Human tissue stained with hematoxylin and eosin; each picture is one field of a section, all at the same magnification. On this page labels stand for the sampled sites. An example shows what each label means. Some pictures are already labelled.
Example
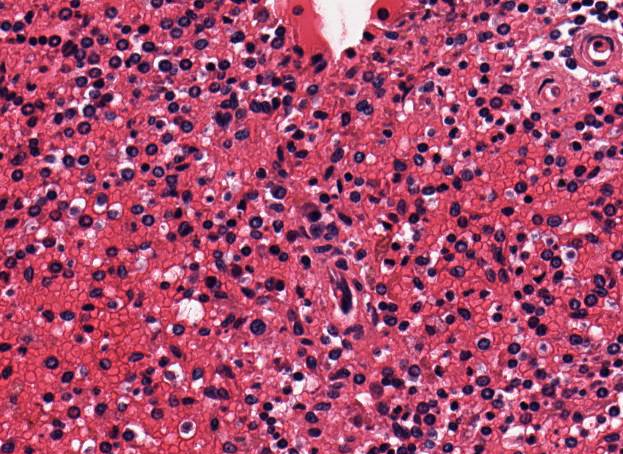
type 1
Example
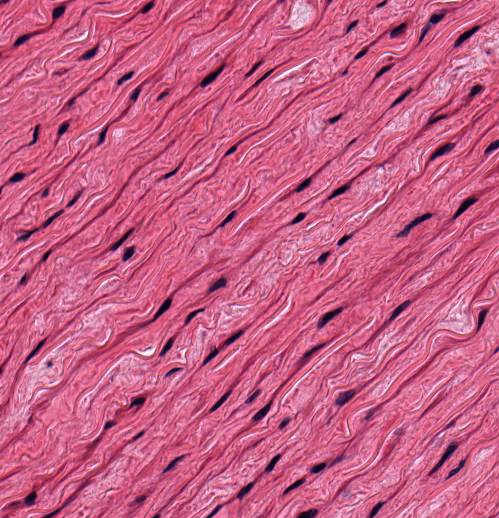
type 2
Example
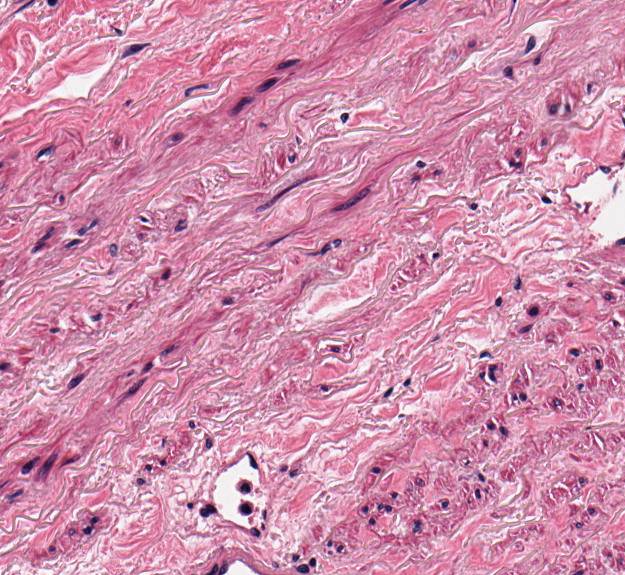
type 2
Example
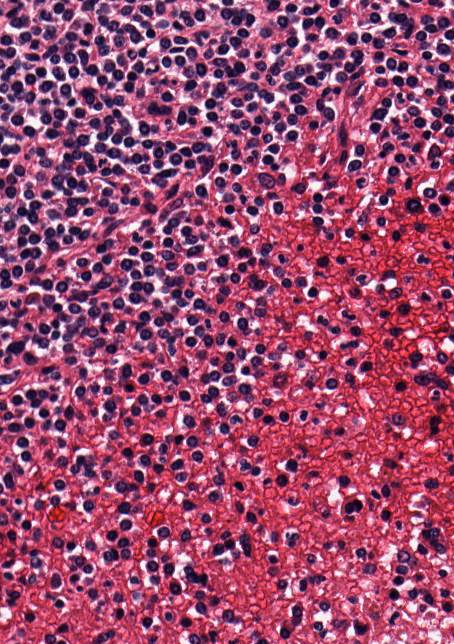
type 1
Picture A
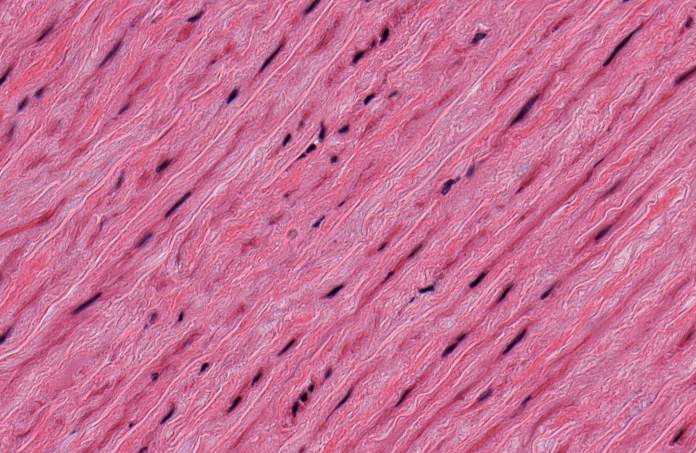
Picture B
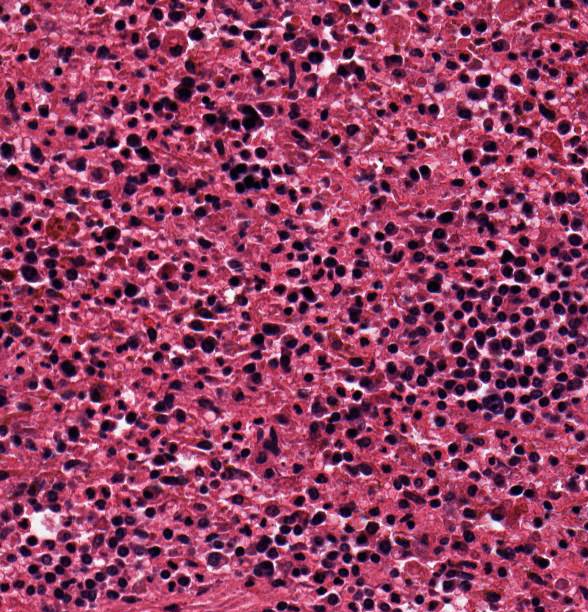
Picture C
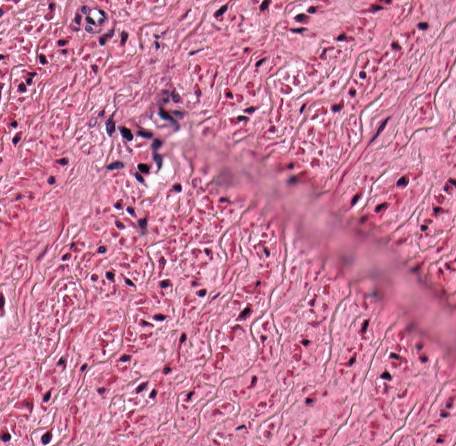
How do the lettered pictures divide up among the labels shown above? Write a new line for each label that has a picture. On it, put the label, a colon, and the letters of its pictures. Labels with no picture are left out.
type 1: B
type 2: A, C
